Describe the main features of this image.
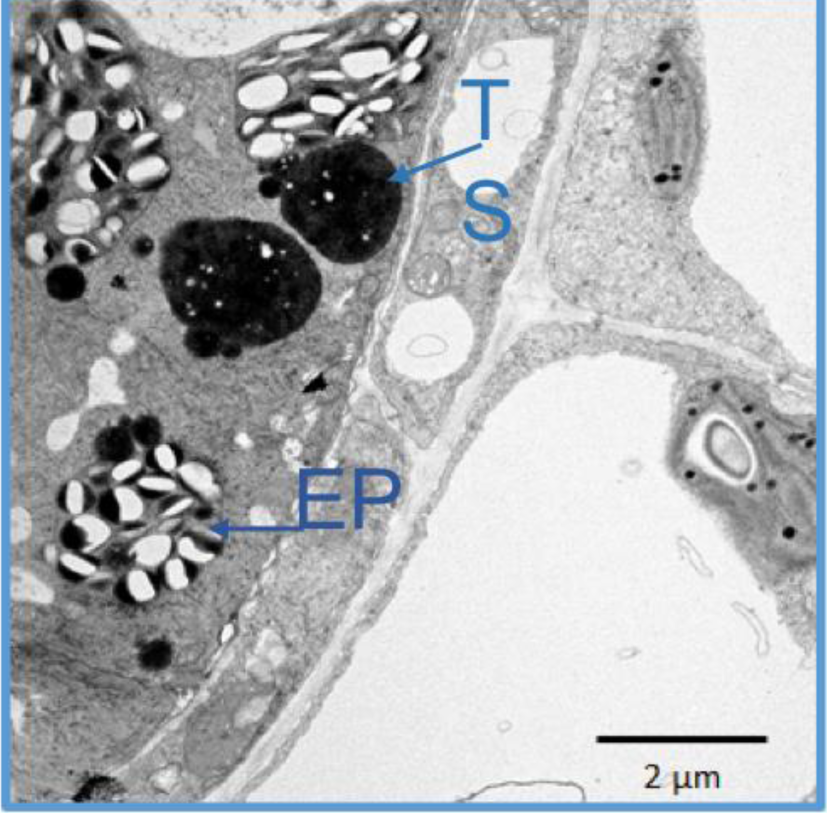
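This is part of a tapetum cell of the anther wall, seen at high magnification. The cytoplasm holds several clusters of white lens-shaped inclusions with dark rims, packed like stacked plates; these are elaioplasts. Nearby lie large, round, very electron-dense bodies with tiny pale specks, the tapetosomes. To the right the cell is bounded by thin walls and paler neighbouring wall cells with sparse contents. The organelles look compact, without large clear vacuoles inside them.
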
